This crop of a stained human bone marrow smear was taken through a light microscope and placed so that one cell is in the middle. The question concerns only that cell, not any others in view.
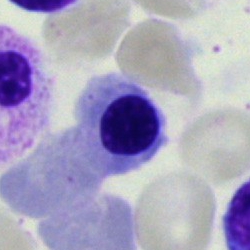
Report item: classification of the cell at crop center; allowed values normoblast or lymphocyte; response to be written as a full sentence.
This crop's central cell is a normoblast.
